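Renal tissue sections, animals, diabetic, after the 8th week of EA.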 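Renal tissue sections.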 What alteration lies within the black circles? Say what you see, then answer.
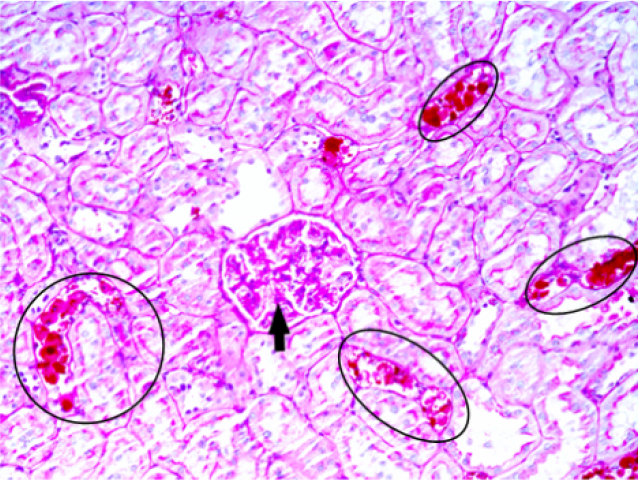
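The circled areas are tubular profiles. These tubules contain dark red, clumped deposits. So: glycosidic and hyaline degenerations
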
